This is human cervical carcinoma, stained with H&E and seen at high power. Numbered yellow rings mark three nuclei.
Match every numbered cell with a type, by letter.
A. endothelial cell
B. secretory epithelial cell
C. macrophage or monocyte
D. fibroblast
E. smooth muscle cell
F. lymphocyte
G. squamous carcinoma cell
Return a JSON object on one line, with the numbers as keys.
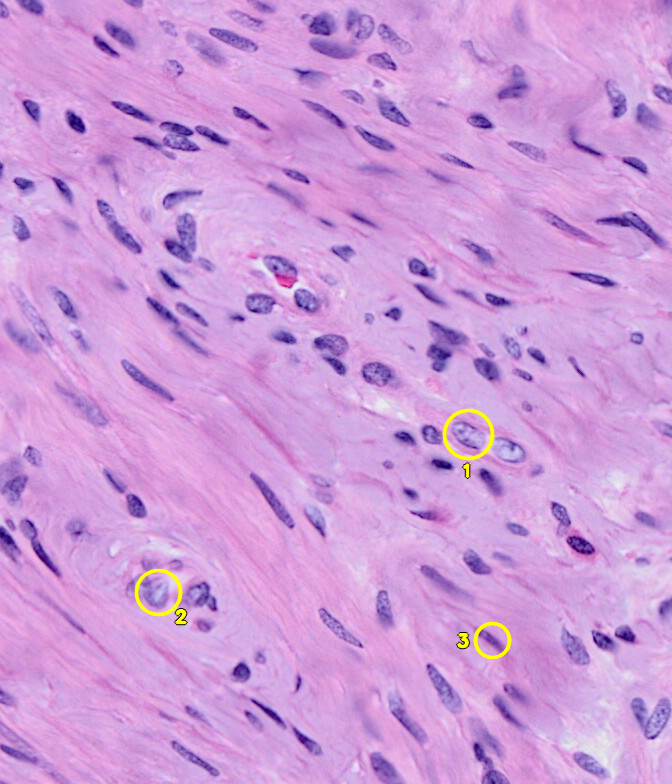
{"1": "A", "2": "A", "3": "E"}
